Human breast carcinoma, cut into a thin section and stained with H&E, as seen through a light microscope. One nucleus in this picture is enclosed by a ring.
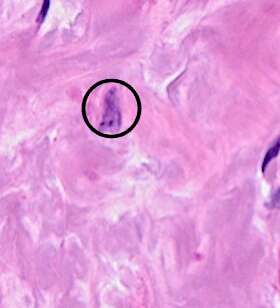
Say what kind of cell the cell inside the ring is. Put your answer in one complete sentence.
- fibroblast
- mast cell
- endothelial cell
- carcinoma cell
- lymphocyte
This is a fibroblast.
